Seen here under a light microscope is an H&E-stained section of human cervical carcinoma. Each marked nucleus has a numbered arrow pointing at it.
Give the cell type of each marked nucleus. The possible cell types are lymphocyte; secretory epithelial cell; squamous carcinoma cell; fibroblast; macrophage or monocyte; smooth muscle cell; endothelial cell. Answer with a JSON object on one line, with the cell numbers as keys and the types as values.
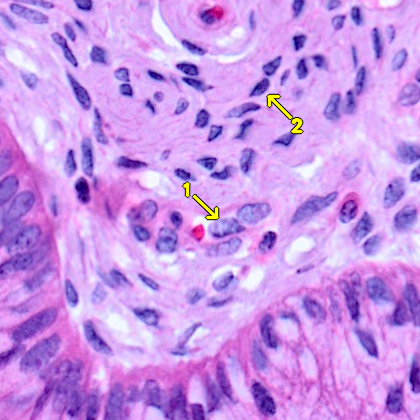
{"1": "endothelial cell", "2": "fibroblast"}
